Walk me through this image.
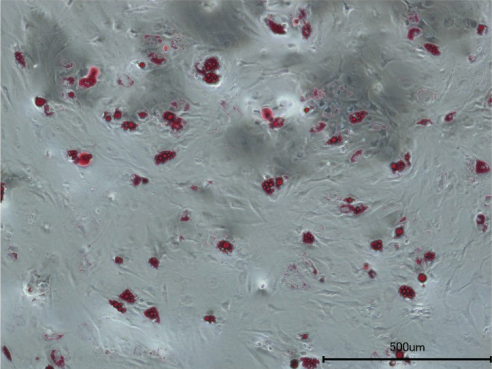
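The spindle-shaped cells form a flat sheet with streaming, roughly parallel arrangement in places. The red-stained cells are compact and round, their cytoplasm densely packed with red droplets. Some areas of the field appear as grey, hazy patches over the cell layer. The red cells are spaced apart, separated by stretches of unstained cells.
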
